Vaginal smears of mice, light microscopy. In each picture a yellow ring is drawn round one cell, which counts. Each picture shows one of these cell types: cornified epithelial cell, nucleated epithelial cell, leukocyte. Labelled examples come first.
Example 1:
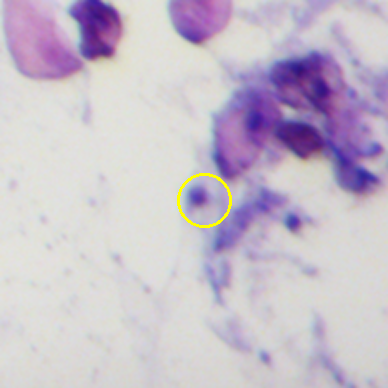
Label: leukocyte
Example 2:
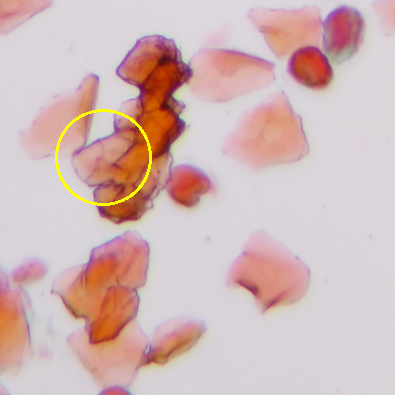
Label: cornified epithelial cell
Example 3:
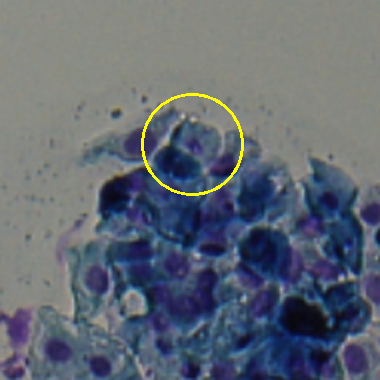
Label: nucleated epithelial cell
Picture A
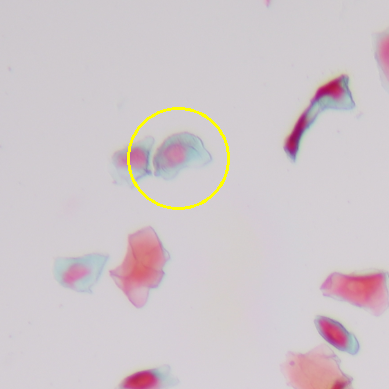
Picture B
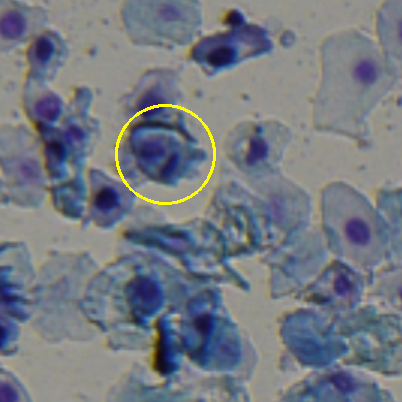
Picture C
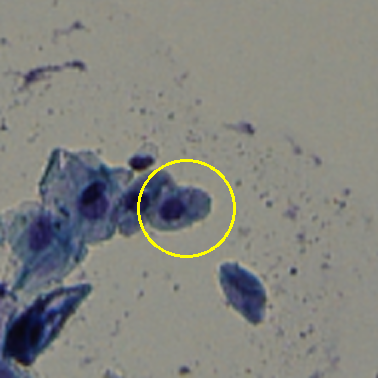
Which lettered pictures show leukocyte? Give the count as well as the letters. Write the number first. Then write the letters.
0, none of them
